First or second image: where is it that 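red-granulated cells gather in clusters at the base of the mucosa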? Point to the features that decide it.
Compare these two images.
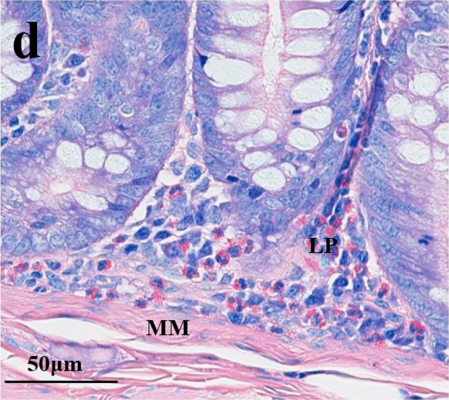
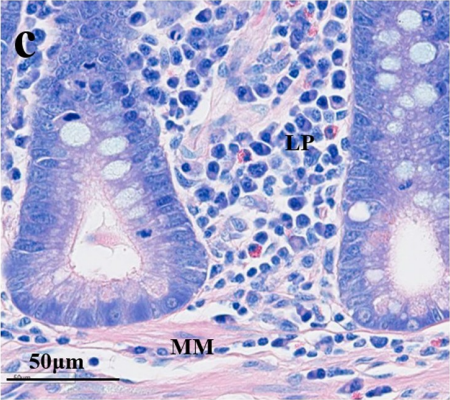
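The first image. Second image: only a few red-granulated cells, lying singly in the lamina propria. First image: many red-granulated cells crowded together just above the pink muscle band.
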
